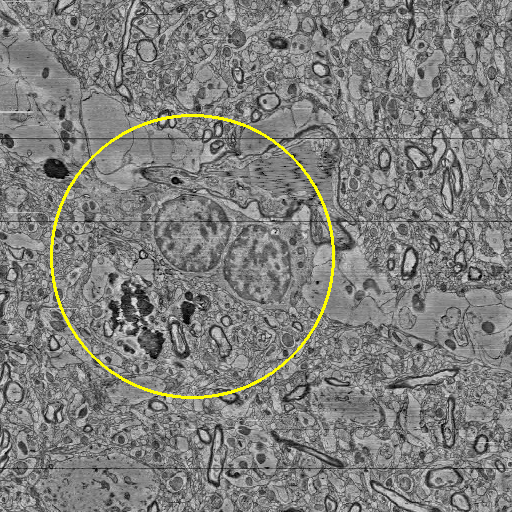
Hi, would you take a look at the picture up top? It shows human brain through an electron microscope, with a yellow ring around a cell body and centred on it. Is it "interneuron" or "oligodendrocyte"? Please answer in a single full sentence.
The best fit for the cell in the middle of the ring is an oligodendrocyte, I reckon.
